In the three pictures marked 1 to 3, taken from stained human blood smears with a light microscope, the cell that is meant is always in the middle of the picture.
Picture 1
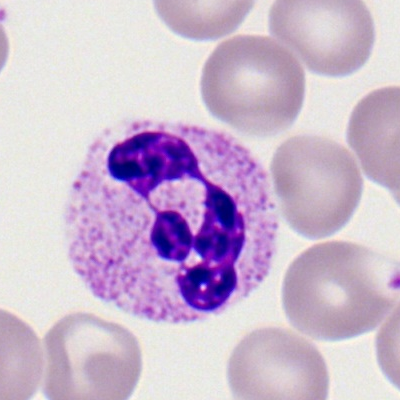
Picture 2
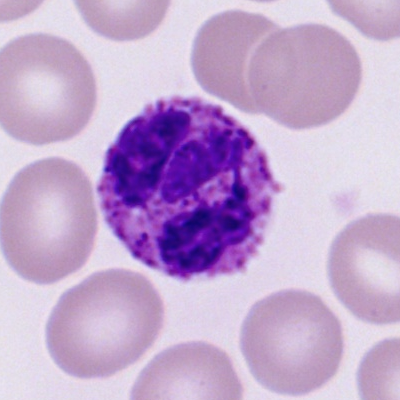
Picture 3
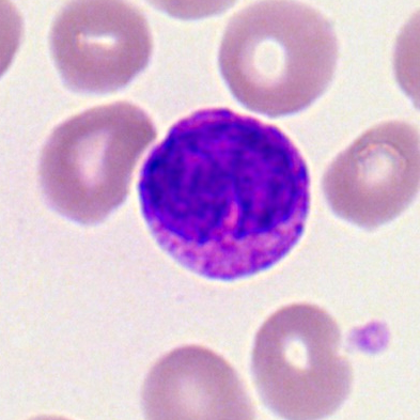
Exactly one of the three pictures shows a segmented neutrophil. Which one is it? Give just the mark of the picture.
1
